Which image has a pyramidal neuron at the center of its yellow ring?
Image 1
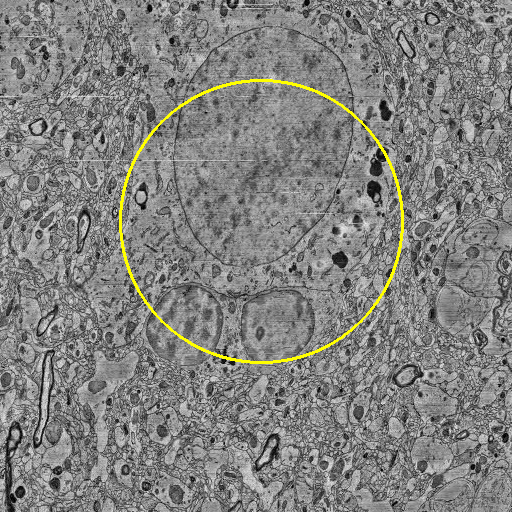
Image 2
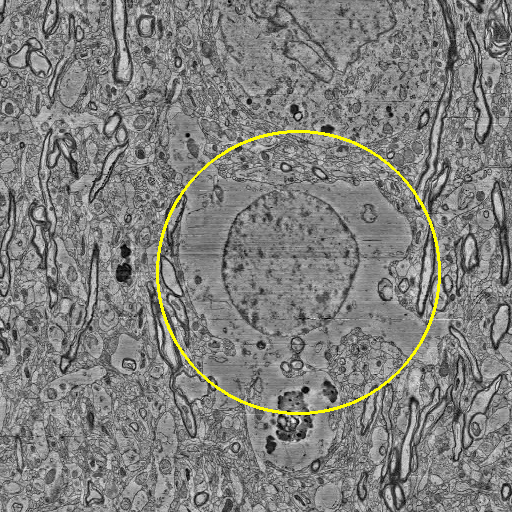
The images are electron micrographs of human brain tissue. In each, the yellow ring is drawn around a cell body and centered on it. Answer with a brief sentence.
It is at the center of the ring in Image 1.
